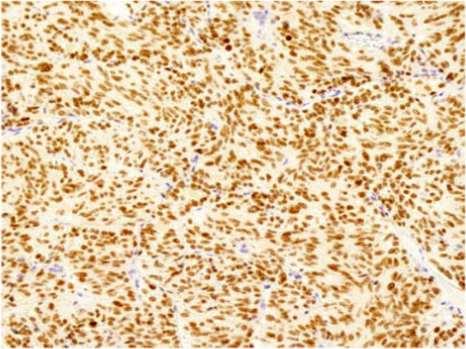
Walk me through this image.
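Densely packed tumor cells with oval to spindle-shaped nuclei fill the field in sheets and short fascicles. Nearly every nucleus is stained a strong brown, while the surrounding cytoplasm stays pale and indistinct. Thin strands of stroma with a few small blue nuclei run between the groups of tumor cells.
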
